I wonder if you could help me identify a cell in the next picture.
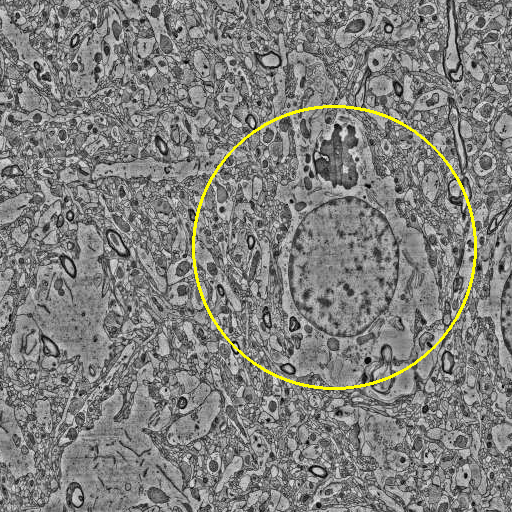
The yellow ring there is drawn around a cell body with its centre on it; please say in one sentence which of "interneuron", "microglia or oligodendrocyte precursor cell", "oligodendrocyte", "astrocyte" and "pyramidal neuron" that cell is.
The yellow ring is centred on an astrocyte.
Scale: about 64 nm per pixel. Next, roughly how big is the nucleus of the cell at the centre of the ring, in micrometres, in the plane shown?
The ringed cell's nucleus measures approximately 9 by 7 micrometres in this plane.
